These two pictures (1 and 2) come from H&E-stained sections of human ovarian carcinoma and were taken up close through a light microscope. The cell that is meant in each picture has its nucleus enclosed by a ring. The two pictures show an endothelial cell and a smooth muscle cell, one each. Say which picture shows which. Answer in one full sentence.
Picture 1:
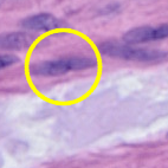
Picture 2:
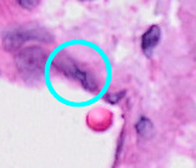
It is picture 1 that shows a smooth muscle cell, and picture 2 that shows an endothelial cell.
